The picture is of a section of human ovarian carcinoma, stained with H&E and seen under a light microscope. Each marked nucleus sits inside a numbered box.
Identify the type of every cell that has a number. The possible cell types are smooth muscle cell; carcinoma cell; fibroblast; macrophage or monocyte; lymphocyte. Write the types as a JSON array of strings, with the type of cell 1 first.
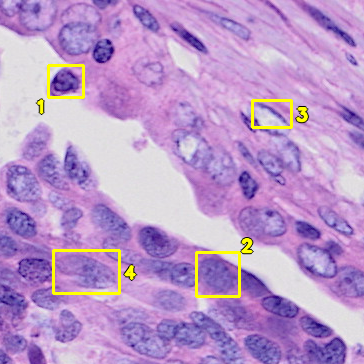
["macrophage or monocyte", "carcinoma cell", "fibroblast", "carcinoma cell"]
